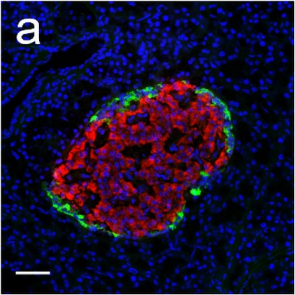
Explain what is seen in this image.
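A pancreatic islet is seen as a large oval cluster of endocrine cells lying within exocrine tissue whose small blue nuclei are densely and evenly scattered. Most of the islet is filled by cells with strong red cytoplasmic staining, packed closely together, with dark unstained gaps between groups of them and blue nuclei among them. Green-stained cells are few and lie chiefly at the edge of the islet, forming a thin, partly broken rim around the red core. The islet boundary is sharp, and the surrounding tissue shows no red or green staining.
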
